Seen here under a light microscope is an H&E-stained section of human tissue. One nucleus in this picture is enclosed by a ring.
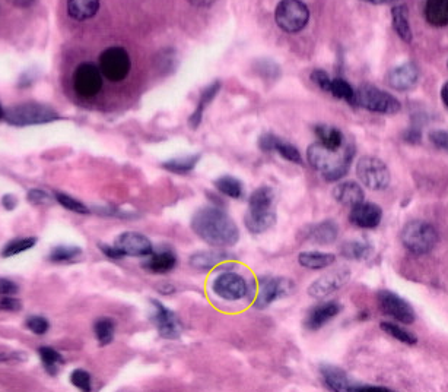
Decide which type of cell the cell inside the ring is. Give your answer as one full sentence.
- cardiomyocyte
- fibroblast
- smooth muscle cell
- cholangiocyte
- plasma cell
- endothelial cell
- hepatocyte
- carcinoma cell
The cell meant here is a cholangiocyte.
